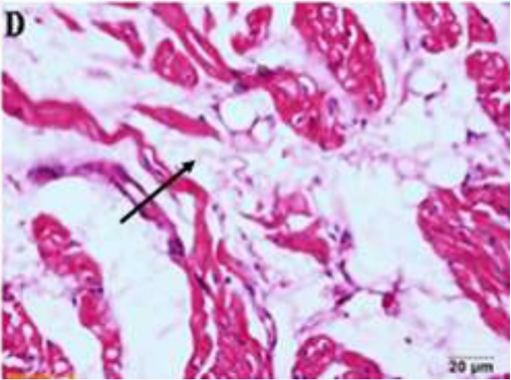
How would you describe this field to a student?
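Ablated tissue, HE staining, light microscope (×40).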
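Rounded and wavy bundles of bright pink muscle fibres are separated by wide, pale, loosely textured interstitial tissue. In this pale tissue lie clear, round vacuoles of lipocytes, with thin walls and empty interiors. Scattered small dark nuclei lie in the pale tissue and along the edges of the fibre bundles.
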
